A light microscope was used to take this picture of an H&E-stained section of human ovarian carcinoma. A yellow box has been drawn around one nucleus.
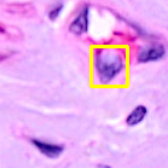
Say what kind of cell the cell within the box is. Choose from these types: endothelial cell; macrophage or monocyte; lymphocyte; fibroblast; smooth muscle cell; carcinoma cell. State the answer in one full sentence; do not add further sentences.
In this field of tissue, the cell within the box is an endothelial cell.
